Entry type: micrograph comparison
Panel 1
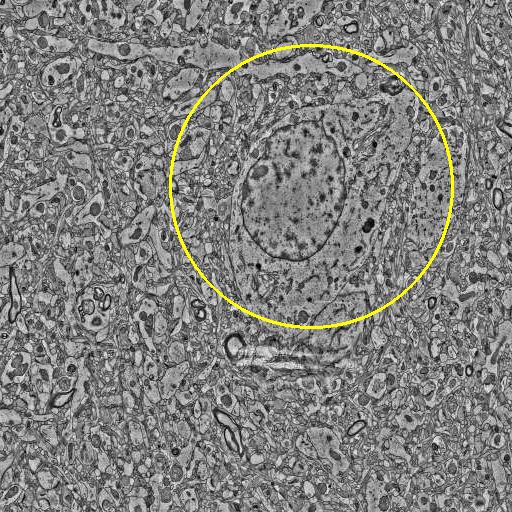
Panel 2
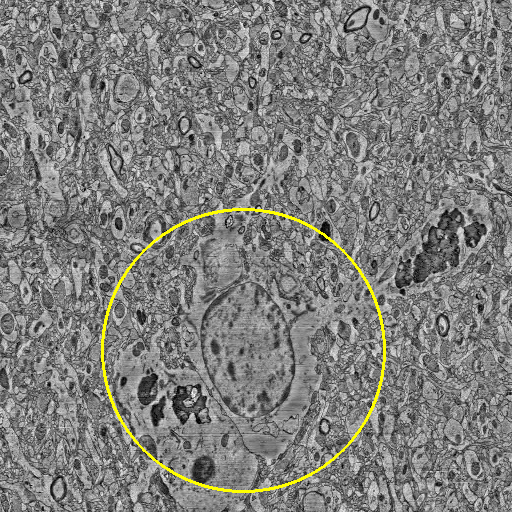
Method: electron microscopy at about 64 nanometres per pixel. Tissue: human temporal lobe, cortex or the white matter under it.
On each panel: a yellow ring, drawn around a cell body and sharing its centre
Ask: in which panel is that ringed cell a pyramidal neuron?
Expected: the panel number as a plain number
1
